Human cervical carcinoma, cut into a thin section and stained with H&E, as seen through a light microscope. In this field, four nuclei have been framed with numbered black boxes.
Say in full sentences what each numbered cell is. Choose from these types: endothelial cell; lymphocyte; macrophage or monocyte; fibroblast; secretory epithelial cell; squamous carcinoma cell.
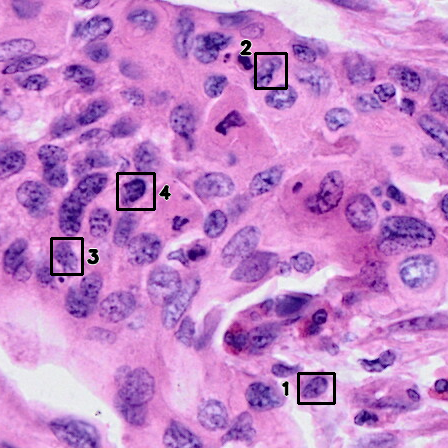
Cell 1 is a macrophage or monocyte. Cells 2, 3 and 4 are squamous carcinoma cells.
